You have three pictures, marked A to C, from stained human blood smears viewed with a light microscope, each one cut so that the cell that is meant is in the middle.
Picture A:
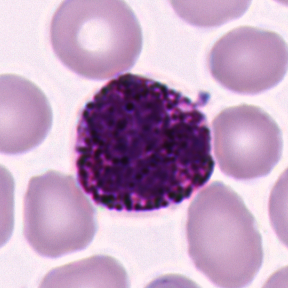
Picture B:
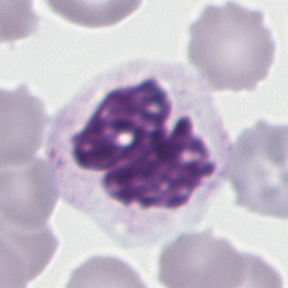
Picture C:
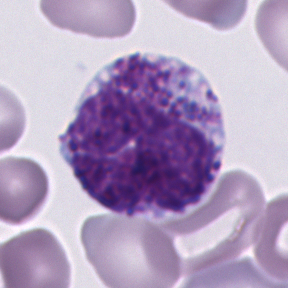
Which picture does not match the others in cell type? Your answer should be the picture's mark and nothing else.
B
